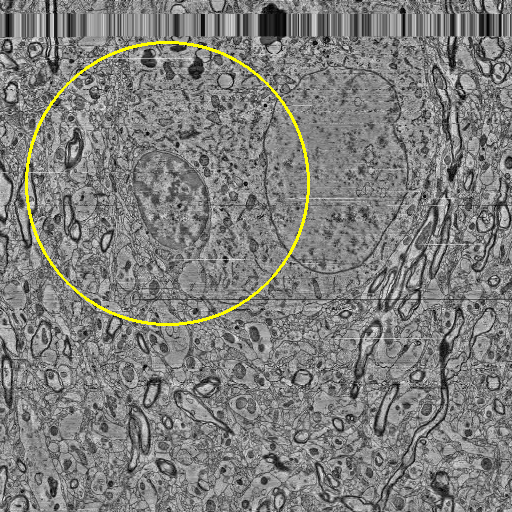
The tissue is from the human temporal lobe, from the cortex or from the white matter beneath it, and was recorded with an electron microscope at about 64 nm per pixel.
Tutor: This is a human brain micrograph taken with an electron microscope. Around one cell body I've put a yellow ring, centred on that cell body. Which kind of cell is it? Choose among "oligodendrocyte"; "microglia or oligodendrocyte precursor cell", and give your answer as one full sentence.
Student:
Going by your list, the cell centred in the yellow ring is an oligodendrocyte.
